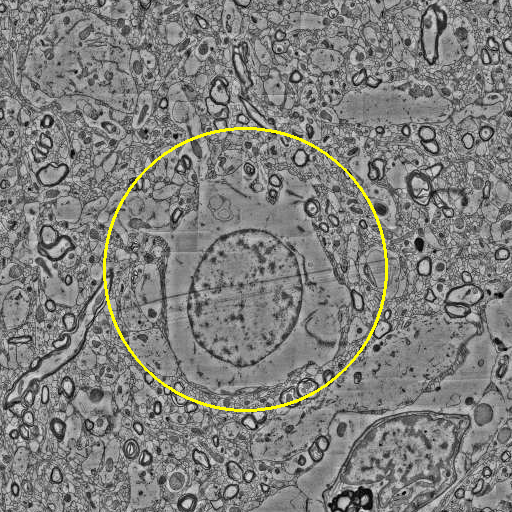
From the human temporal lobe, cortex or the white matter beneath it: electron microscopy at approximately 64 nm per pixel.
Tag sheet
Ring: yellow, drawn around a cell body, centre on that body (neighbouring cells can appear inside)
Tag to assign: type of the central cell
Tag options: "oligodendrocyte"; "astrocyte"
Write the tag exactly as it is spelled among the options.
astrocyte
